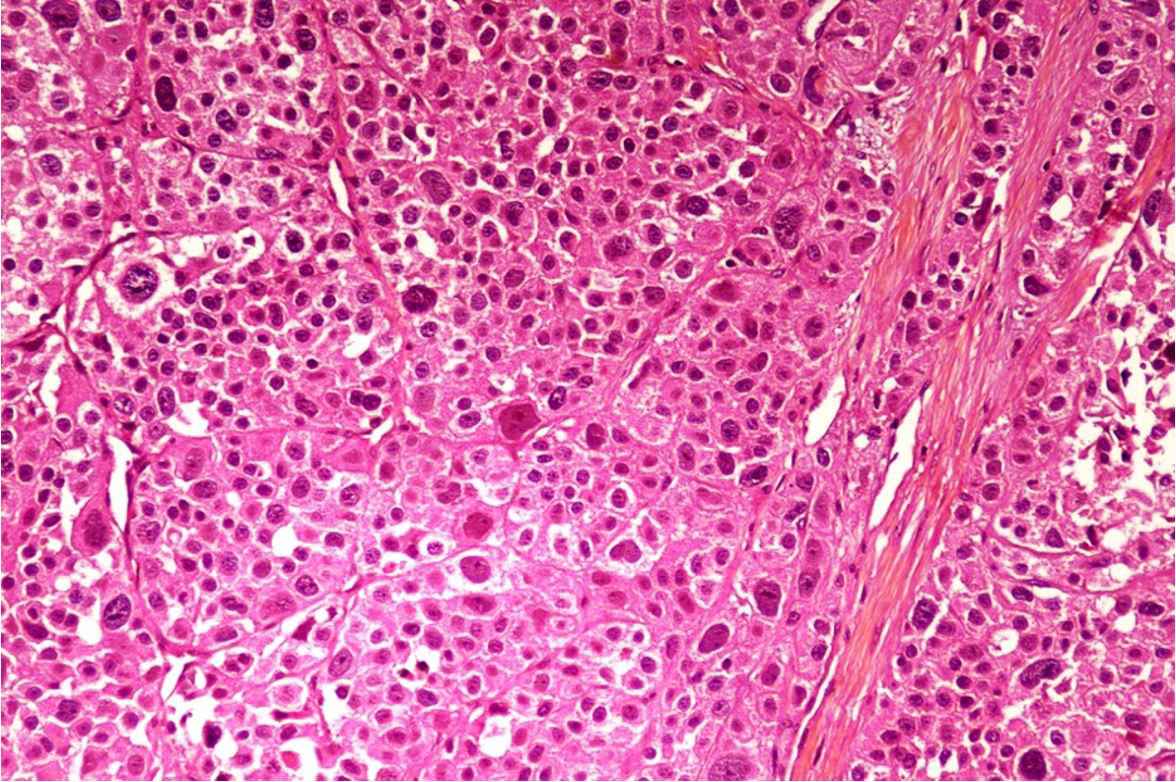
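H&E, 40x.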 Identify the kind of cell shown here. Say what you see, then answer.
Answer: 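Scattered cells have very large, irregular, deeply stained nuclei. Some giant cells with dense pink cytoplasm stand out among smaller cells. On this evidence: bizarre cells.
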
